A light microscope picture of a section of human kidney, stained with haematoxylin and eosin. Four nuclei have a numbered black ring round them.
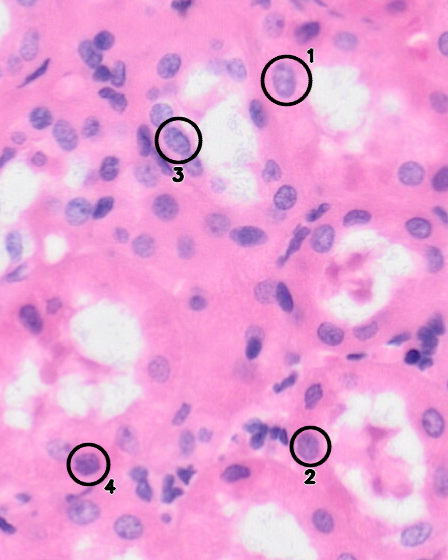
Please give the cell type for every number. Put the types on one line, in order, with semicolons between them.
proximal tubule cell; proximal tubule cell; collecting duct cell; proximal tubule cell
